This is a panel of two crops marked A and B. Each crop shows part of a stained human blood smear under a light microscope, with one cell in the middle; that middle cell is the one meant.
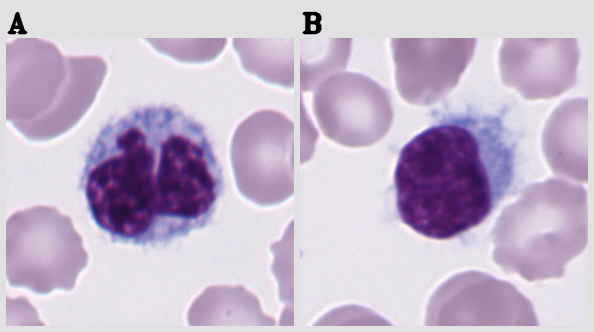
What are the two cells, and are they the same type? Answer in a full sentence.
Yes, hairy cells occupy the centre of both crops.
